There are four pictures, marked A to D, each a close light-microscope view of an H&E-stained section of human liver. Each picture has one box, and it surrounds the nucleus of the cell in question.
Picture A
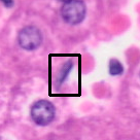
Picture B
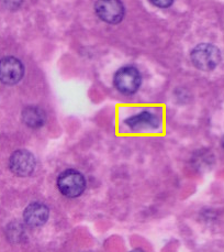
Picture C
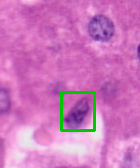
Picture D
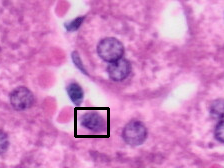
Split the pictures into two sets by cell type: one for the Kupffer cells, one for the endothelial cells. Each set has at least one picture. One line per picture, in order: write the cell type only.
endothelial cell
endothelial cell
Kupffer cell
Kupffer cell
